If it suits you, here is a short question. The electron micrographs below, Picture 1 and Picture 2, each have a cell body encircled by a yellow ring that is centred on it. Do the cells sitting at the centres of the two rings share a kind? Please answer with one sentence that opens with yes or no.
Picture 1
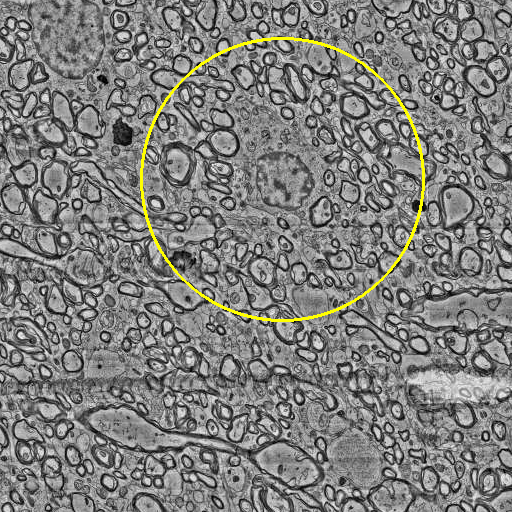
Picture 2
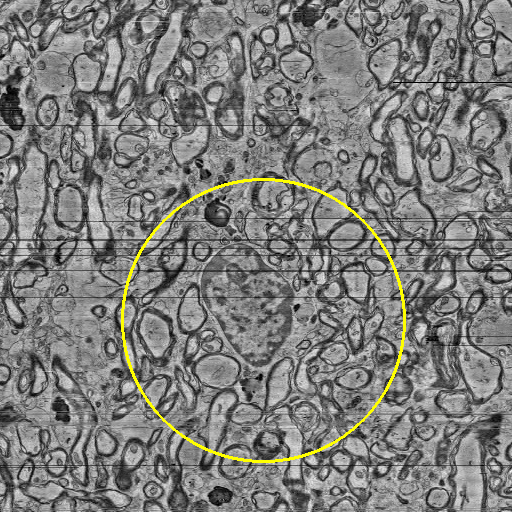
No, the two cells sitting at the ring centres fall into two kinds.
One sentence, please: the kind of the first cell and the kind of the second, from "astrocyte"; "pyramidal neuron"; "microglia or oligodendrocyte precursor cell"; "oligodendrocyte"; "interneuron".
The ring in the first picture surrounds an oligodendrocyte, and the ring in the second surrounds a microglial cell or oligodendrocyte precursor cell.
